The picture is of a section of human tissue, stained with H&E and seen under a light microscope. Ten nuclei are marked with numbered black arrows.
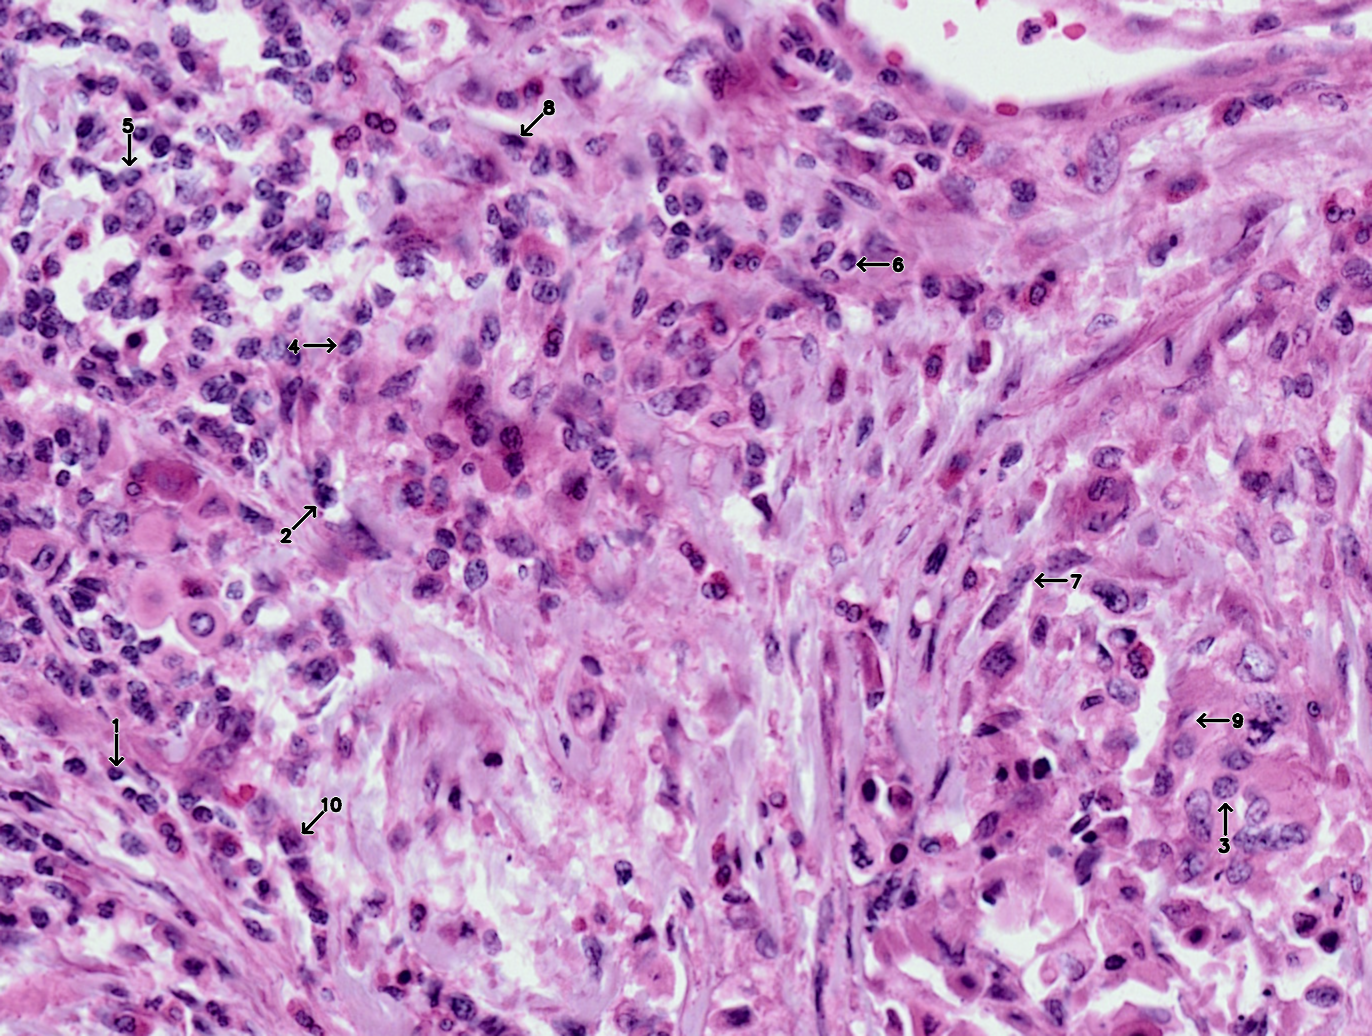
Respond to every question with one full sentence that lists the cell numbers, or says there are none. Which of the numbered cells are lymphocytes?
Within the section, cells numbered 1, 2, 4, 5, 6 and 8 are lymphocytes.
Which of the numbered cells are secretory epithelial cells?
There are no secretory epithelial cells in the group of numbered cells.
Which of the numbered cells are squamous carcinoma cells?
Cells 3 and 9 are squamous carcinoma cells by cell type.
